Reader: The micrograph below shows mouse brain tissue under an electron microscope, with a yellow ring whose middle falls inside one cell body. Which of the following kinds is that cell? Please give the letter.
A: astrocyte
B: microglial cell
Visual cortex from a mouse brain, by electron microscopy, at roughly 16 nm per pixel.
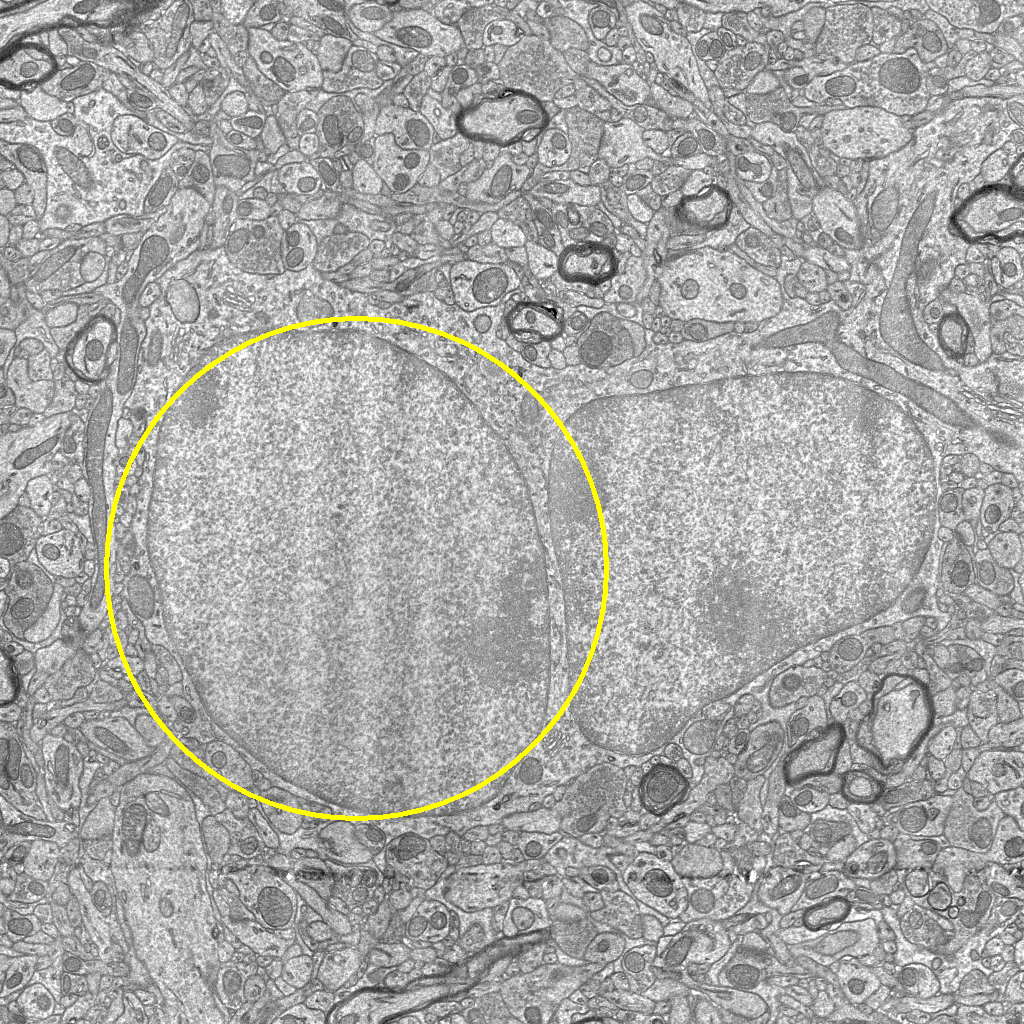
A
